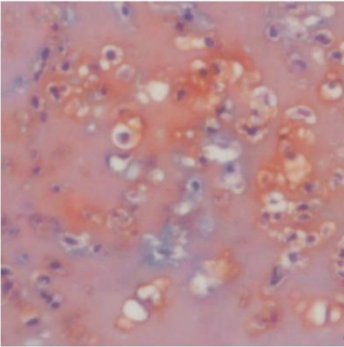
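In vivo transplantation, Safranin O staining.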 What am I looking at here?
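Rounded cells with dark purple nuclei sit singly and in small groups inside clear, halo-like spaces, set in a matrix that stains pink to orange-red, strongest around the clusters of cells. These are chondrocytes lying in lacunae within a cartilage-like matrix.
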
